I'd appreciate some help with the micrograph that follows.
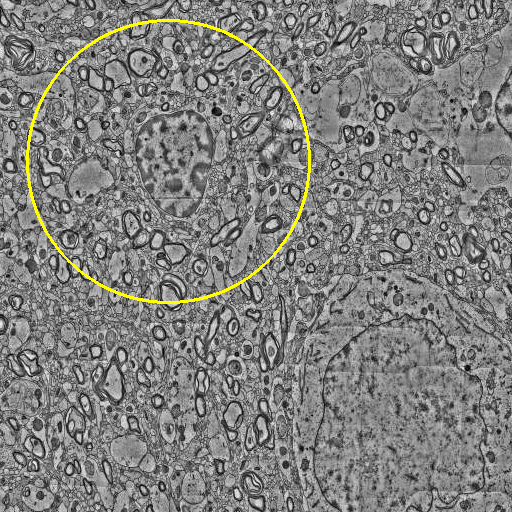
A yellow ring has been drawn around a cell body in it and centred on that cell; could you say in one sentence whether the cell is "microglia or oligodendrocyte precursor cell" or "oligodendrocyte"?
It is a microglial cell or oligodendrocyte precursor cell at the centre of the ring.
